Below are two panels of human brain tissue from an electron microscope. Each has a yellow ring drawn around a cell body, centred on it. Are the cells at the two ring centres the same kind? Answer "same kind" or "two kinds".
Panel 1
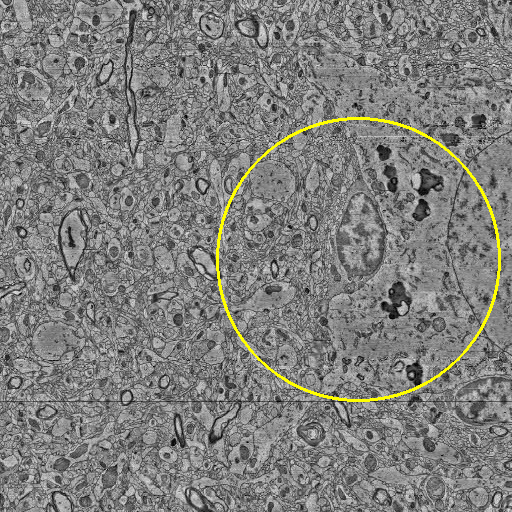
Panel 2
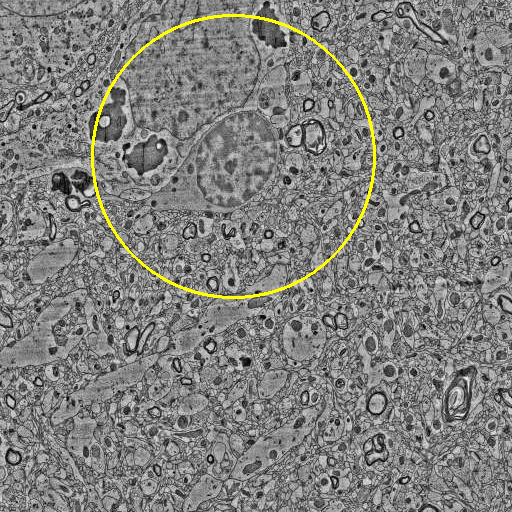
same kind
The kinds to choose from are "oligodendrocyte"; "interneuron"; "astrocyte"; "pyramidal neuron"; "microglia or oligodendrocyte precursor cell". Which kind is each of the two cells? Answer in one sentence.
Both the first and the second picture show an oligodendrocyte in the ring.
